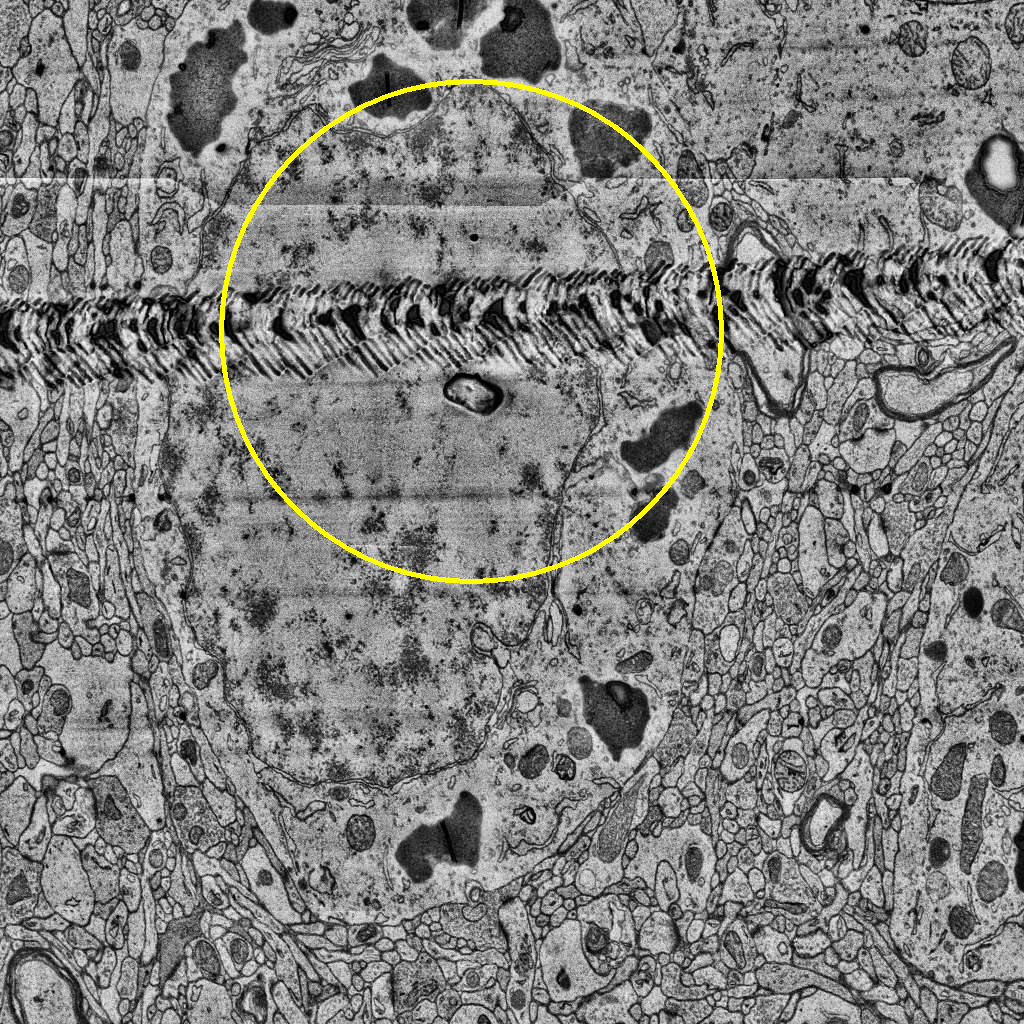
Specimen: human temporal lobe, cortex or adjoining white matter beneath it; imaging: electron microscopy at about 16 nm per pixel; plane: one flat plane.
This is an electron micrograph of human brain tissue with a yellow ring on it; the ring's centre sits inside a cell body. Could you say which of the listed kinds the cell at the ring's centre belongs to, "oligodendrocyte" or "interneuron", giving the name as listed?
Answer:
interneuron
